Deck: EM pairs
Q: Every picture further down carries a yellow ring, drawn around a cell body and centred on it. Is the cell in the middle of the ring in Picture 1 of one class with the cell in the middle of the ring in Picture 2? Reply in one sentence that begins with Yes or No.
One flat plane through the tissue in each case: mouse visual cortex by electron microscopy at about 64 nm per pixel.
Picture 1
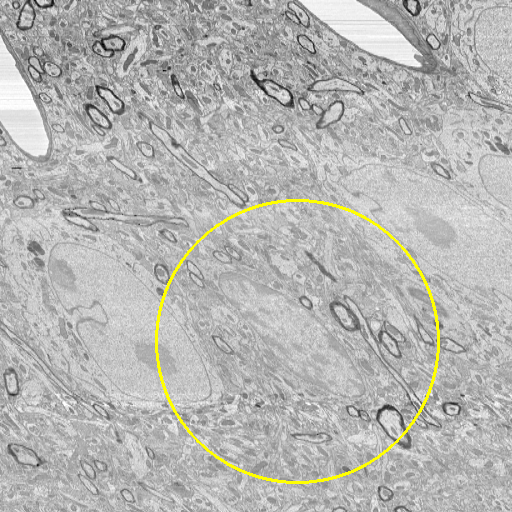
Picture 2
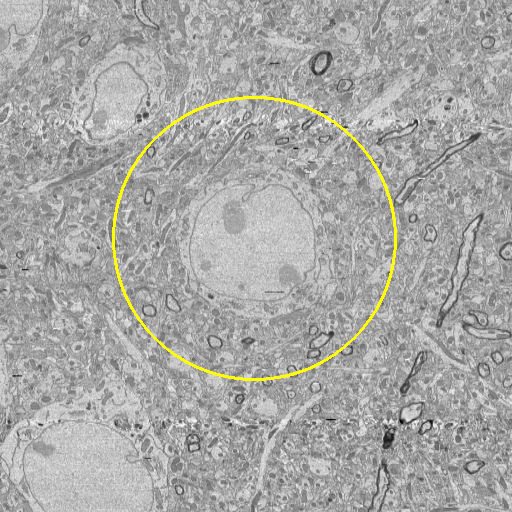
No, the cell centred in the ring of Picture 1 and the one in Picture 2 belong to separate classes.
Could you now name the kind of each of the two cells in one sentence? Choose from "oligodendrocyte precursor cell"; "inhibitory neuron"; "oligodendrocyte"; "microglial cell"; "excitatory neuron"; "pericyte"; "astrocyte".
The first ring encloses an oligodendrocyte; the second ring encloses an excitatory neuron.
